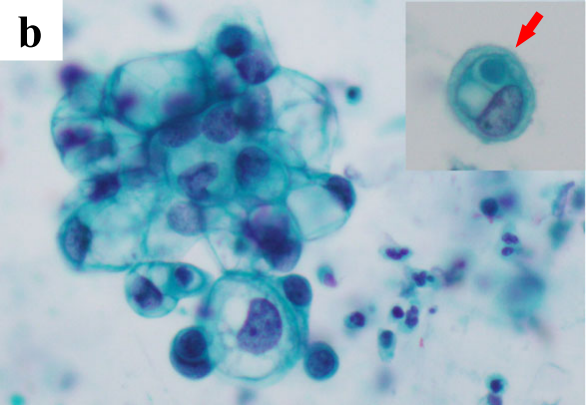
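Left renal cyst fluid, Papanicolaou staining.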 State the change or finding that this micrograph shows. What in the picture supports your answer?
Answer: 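A cluster of cells with sharply outlined, largely clear, pale cytoplasm. Nuclei sit within cells whose cytoplasm looks empty or vacuolated.
Answer: focal clear cytoplasm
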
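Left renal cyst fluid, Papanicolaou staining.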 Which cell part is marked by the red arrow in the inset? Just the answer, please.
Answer: intracytoplasmic lumen with a secretory globule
